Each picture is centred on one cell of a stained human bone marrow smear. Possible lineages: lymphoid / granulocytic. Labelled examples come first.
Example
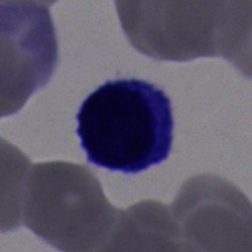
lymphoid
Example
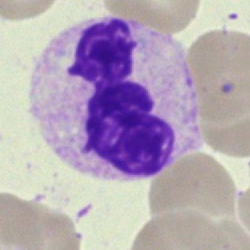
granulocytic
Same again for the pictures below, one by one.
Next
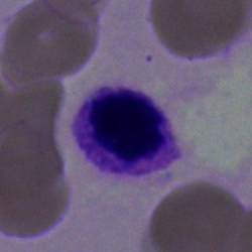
granulocytic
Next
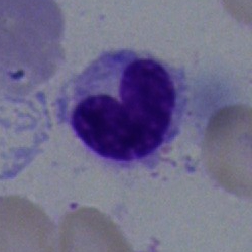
granulocytic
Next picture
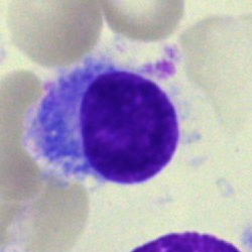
lymphoid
